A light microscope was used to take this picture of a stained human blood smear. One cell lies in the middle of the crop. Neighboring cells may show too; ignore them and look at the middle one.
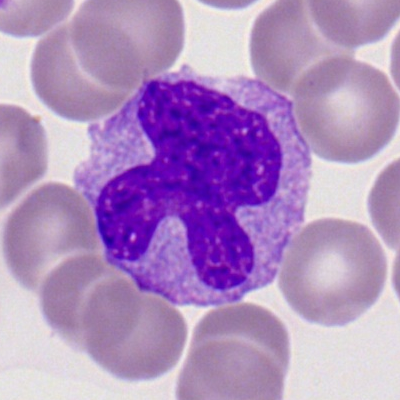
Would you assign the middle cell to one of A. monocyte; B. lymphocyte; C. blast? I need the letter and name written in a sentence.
The cell occupying the centre is a monocyte; option A is thus the correct choice.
